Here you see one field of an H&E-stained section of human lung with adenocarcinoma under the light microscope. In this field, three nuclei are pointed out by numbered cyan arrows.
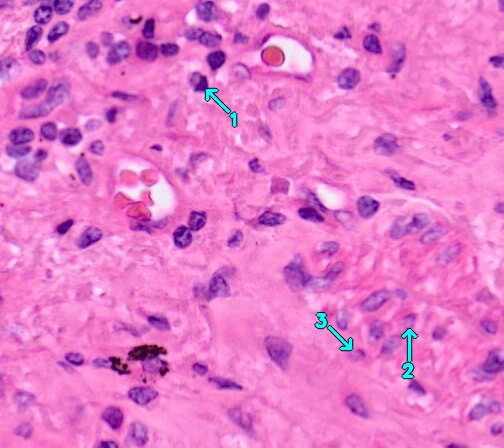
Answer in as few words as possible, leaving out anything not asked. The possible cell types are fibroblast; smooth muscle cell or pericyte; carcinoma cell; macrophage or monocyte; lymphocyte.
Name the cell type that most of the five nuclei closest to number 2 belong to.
smooth muscle cell or pericyte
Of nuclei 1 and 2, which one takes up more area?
1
